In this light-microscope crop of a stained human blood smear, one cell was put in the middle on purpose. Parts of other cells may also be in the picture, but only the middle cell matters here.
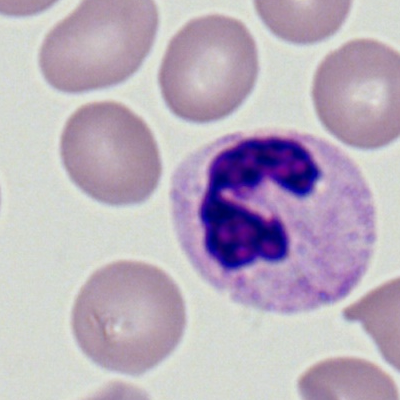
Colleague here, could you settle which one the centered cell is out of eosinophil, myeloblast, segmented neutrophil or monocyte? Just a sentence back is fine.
Located at the centre of the crop is a segmented neutrophil.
